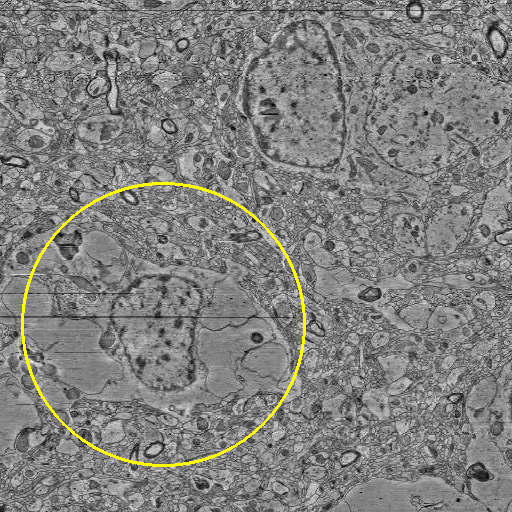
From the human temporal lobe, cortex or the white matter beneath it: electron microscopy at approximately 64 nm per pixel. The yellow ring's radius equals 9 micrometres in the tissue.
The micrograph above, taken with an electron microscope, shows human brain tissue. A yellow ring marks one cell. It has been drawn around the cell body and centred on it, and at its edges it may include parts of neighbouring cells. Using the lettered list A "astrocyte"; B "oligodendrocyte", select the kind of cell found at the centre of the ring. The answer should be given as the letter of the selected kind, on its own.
A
